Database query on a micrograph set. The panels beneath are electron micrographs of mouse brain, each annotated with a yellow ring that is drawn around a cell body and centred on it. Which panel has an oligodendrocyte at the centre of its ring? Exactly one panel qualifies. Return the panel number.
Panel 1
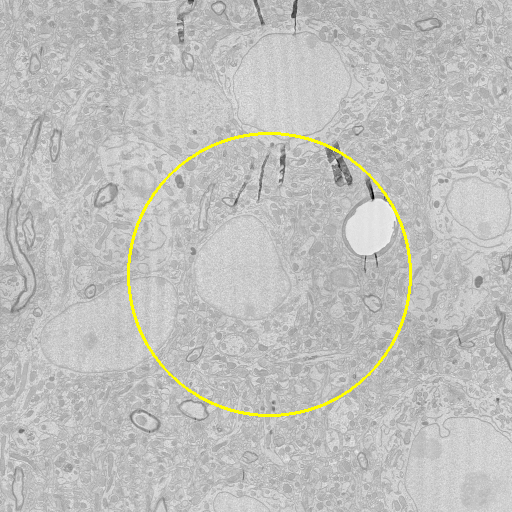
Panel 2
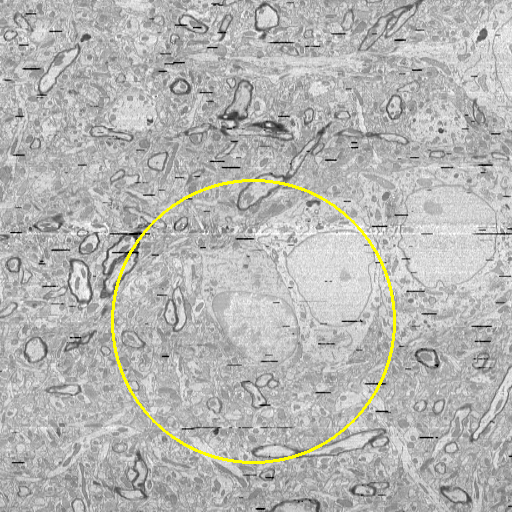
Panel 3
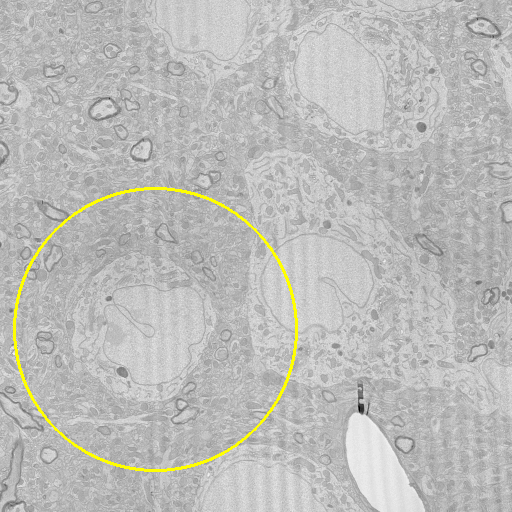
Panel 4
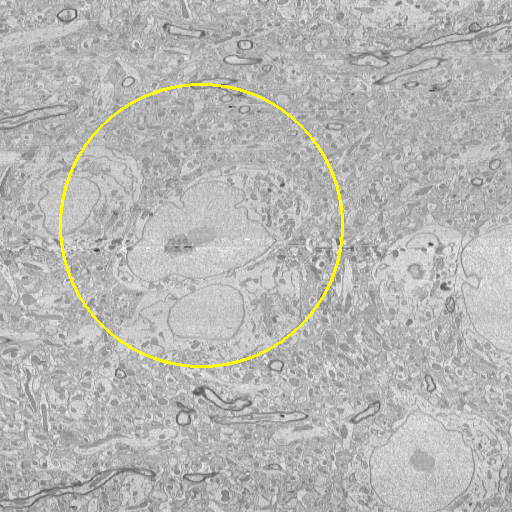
2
